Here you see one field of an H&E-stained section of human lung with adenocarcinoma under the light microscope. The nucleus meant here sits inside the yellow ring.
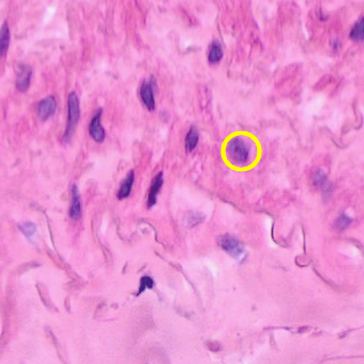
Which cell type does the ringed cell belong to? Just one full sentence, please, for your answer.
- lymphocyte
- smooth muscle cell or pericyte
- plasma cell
The identity of the ringed cell is that of a smooth muscle cell or pericyte.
